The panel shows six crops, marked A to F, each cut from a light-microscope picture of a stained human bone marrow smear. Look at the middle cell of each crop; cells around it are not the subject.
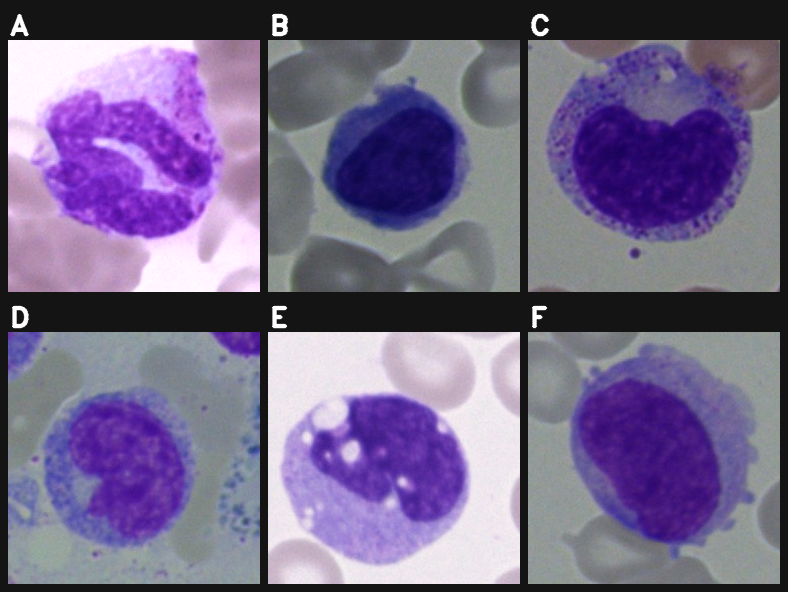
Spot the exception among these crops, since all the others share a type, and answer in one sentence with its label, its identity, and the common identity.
Only in crop C is there a metamyelocyte; all other crops show monocytes.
